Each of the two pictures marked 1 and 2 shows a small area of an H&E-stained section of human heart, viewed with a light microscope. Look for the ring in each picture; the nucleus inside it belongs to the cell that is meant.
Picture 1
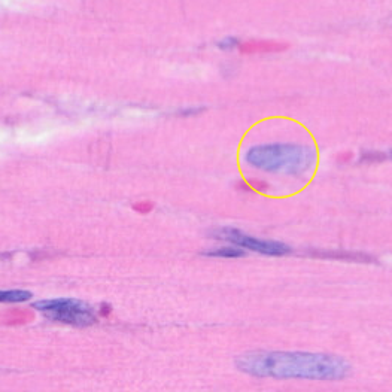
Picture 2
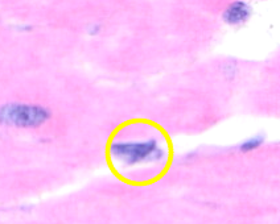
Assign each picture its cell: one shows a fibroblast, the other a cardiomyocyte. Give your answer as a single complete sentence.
In picture 1 the cell is a cardiomyocyte; in picture 2, a fibroblast.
